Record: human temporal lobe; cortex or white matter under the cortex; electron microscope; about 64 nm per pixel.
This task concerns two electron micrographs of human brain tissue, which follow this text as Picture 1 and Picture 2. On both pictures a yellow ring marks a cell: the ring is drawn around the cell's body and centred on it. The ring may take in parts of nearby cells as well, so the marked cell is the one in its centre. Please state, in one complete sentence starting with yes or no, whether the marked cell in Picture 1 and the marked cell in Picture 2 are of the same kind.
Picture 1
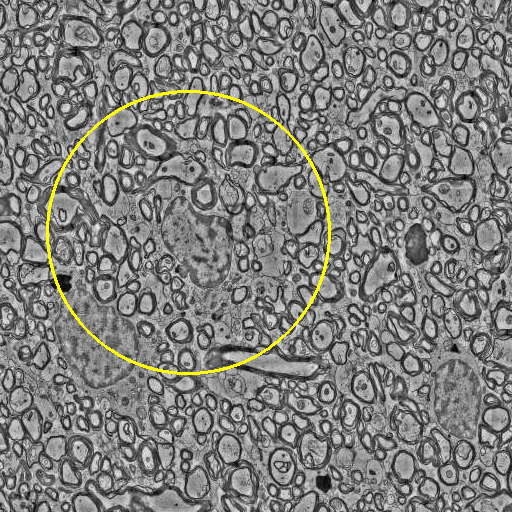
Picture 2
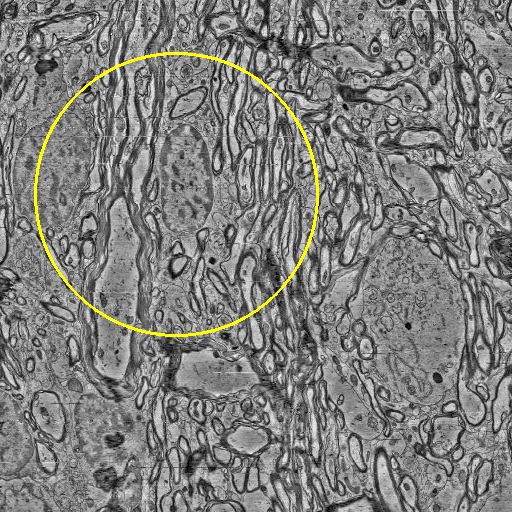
Yes, the marked cells in both pictures are of the same kind.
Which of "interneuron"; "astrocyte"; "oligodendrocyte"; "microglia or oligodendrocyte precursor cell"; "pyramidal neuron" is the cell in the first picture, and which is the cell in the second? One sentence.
Each of the ringed cells, first and second, is a microglial cell or oligodendrocyte precursor cell.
